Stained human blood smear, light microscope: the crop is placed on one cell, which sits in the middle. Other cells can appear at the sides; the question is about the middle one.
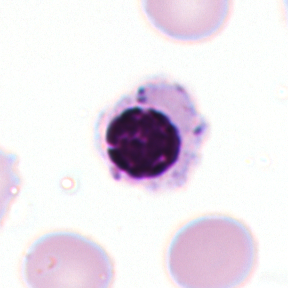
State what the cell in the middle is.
normoblast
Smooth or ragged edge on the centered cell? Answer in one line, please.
Instead of a smooth edge, this cell has an irregular one, ragged or with projections.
